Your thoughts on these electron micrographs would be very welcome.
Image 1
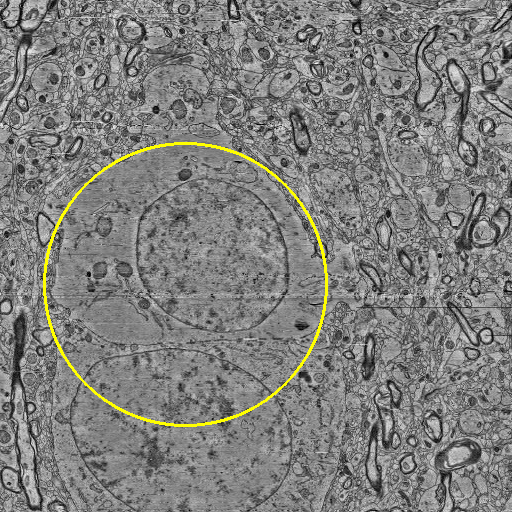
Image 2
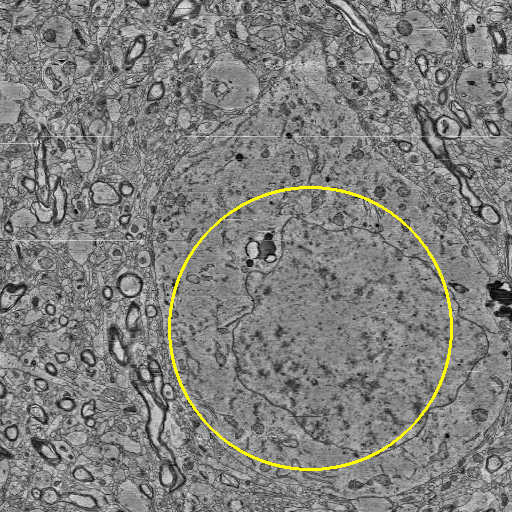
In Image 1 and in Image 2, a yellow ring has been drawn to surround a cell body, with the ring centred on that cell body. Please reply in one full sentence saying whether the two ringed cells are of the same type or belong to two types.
The ringed cells in Image 1 and Image 2 belong to two types.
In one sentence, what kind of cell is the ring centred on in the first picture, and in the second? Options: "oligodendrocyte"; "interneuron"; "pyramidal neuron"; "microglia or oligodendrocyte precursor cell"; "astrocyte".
The cell at the centre of the second ring is a pyramidal neuron; the first ring's cell is an astrocyte.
